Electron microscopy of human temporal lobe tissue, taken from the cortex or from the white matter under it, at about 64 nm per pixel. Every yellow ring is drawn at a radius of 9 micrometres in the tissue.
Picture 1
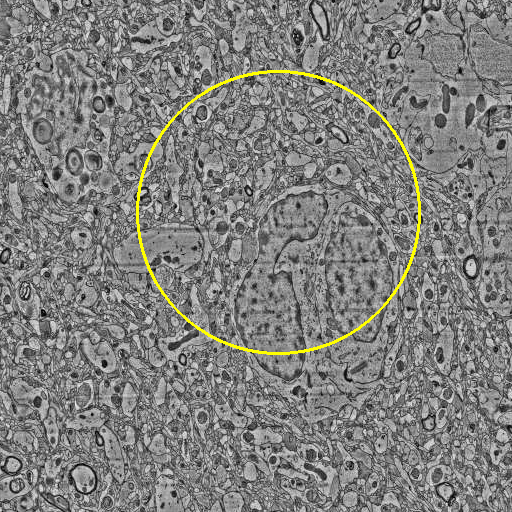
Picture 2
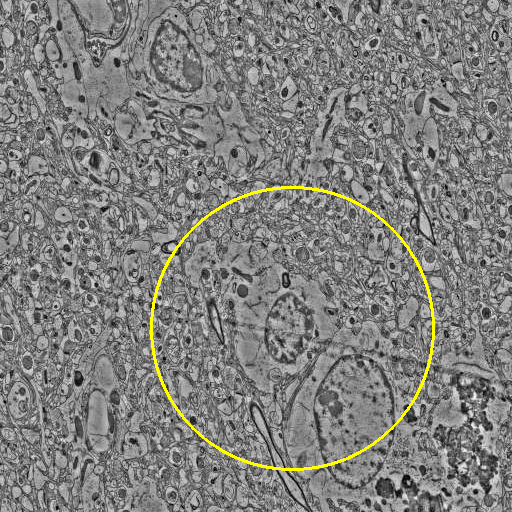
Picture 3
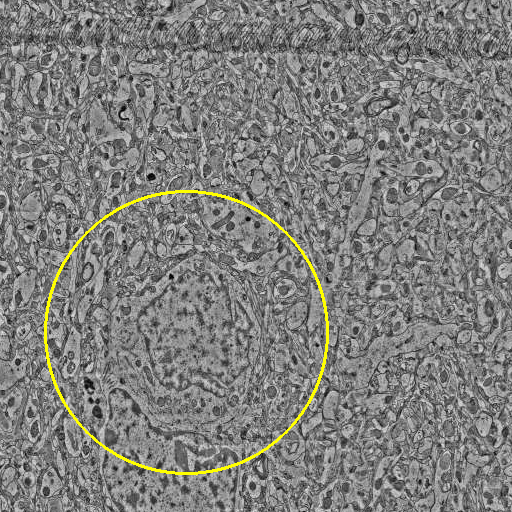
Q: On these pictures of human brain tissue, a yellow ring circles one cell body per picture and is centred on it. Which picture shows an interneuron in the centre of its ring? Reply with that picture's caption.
Picture 3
